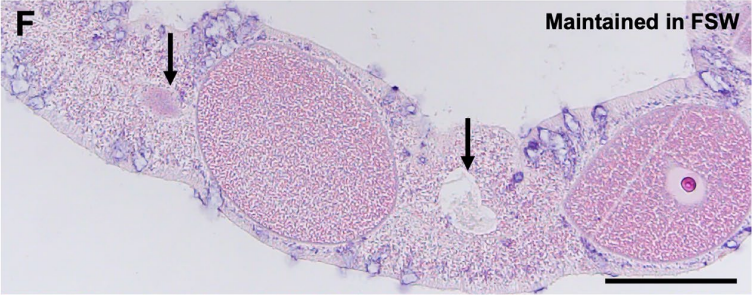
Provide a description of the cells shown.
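This section shows a narrow band of ovarian tissue with only a few large oocytes remaining. Two intact oocytes with pink, finely granular cytoplasm are visible, one containing a pale round nucleus with a dark pink nucleolus. Between them the tissue is lighter and looser, with scattered purple nuclei. Two sites marked by arrows contain only small faint pink or pale, irregular remnants where oocytes are absent. Compared with a densely packed ovary, the oocytes here are sparse and widely spaced.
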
